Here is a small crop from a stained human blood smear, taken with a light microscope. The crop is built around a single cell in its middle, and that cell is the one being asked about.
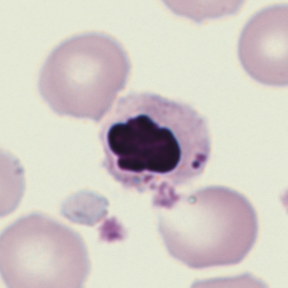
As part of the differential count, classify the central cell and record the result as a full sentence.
In short, the cell at the center is an erythroblast.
